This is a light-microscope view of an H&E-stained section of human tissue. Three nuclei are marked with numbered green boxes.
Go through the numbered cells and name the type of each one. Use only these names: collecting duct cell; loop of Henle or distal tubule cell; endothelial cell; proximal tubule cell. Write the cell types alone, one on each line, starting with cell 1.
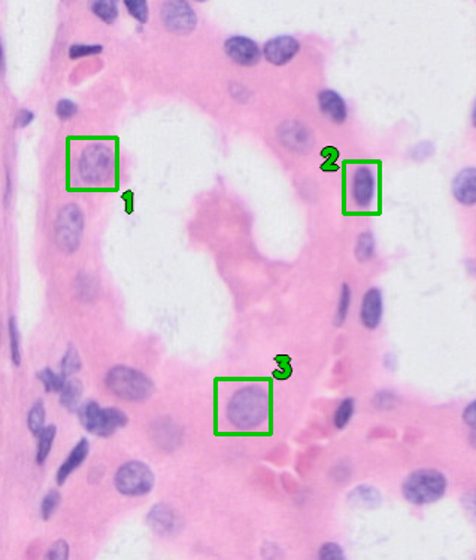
proximal tubule cell
loop of Henle or distal tubule cell
proximal tubule cell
